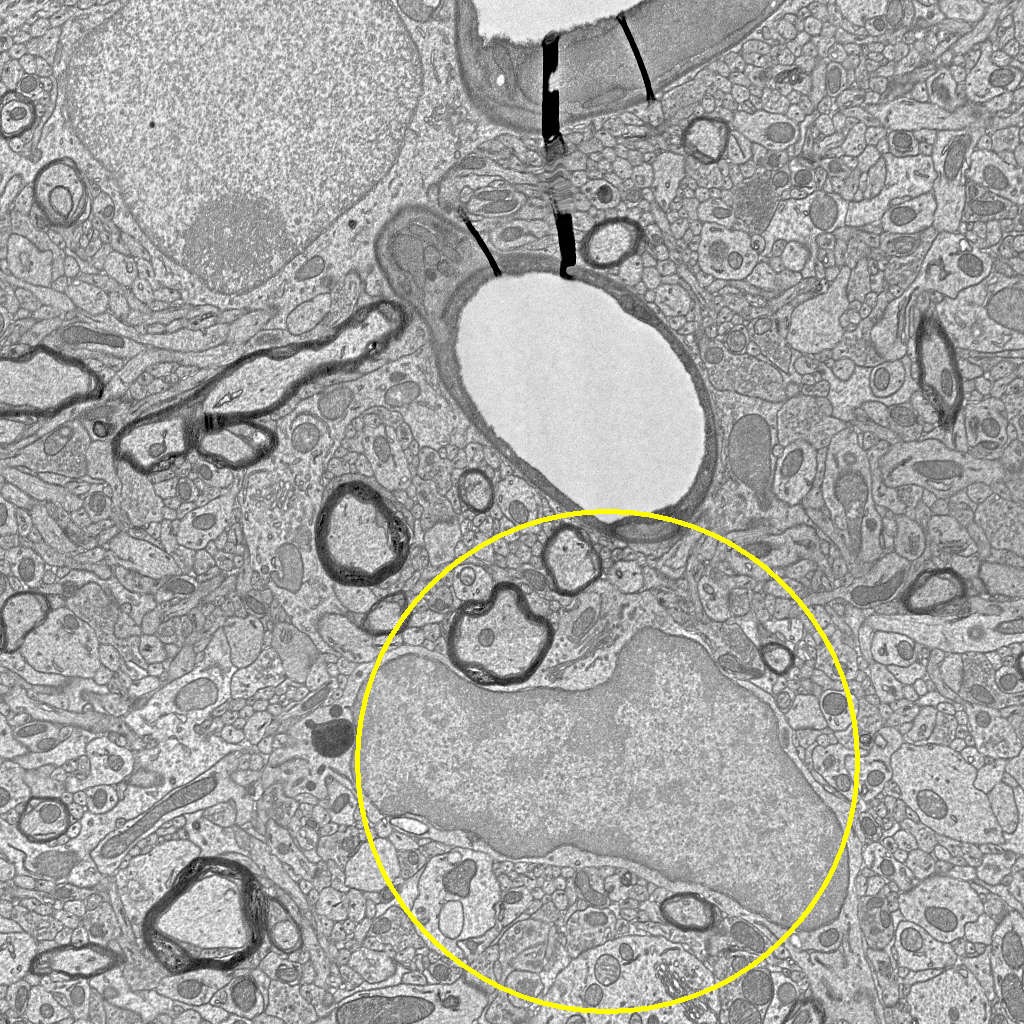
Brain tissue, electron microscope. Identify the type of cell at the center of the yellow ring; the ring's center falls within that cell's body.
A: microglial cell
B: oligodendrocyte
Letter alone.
A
